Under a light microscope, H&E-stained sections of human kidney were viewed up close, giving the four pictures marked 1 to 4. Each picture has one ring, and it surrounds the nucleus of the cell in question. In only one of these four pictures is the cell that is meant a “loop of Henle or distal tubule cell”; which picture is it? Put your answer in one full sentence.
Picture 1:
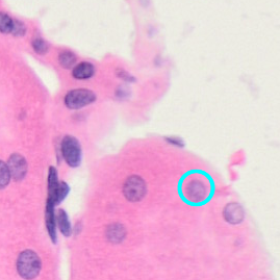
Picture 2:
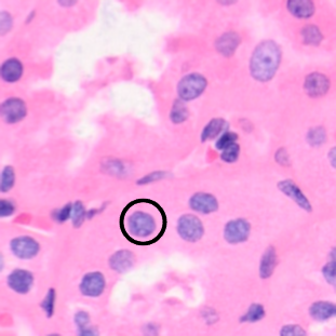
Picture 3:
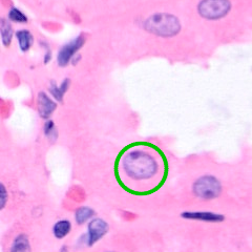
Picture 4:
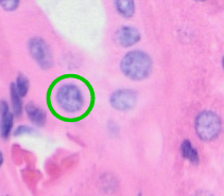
It is picture 2 that shows the “loop of Henle or distal tubule cell”.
